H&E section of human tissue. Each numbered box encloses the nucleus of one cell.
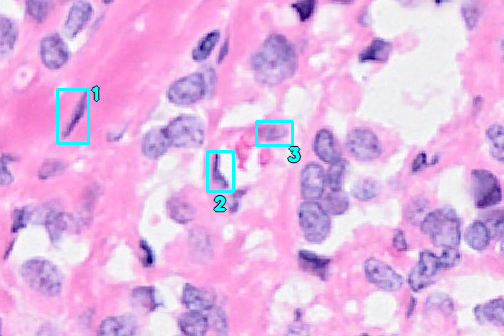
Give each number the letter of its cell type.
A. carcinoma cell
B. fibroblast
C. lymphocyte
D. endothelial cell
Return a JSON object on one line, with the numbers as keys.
{"1": "B", "2": "D", "3": "D"}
